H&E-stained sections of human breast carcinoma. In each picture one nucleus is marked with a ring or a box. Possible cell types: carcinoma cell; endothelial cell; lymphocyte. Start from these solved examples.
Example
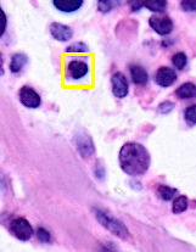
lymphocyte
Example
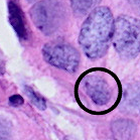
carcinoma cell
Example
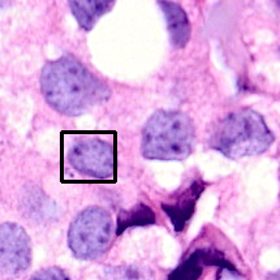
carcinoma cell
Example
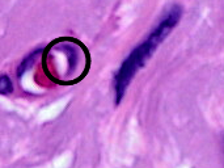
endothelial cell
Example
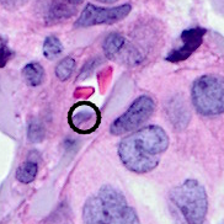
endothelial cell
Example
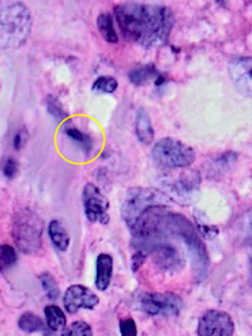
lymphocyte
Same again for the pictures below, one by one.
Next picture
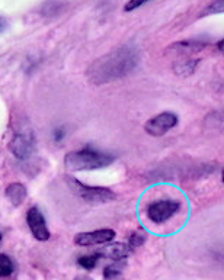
lymphocyte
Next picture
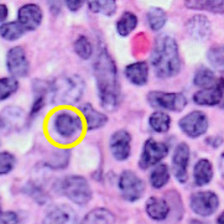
lymphocyte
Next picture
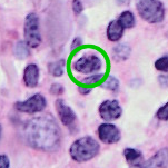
lymphocyte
